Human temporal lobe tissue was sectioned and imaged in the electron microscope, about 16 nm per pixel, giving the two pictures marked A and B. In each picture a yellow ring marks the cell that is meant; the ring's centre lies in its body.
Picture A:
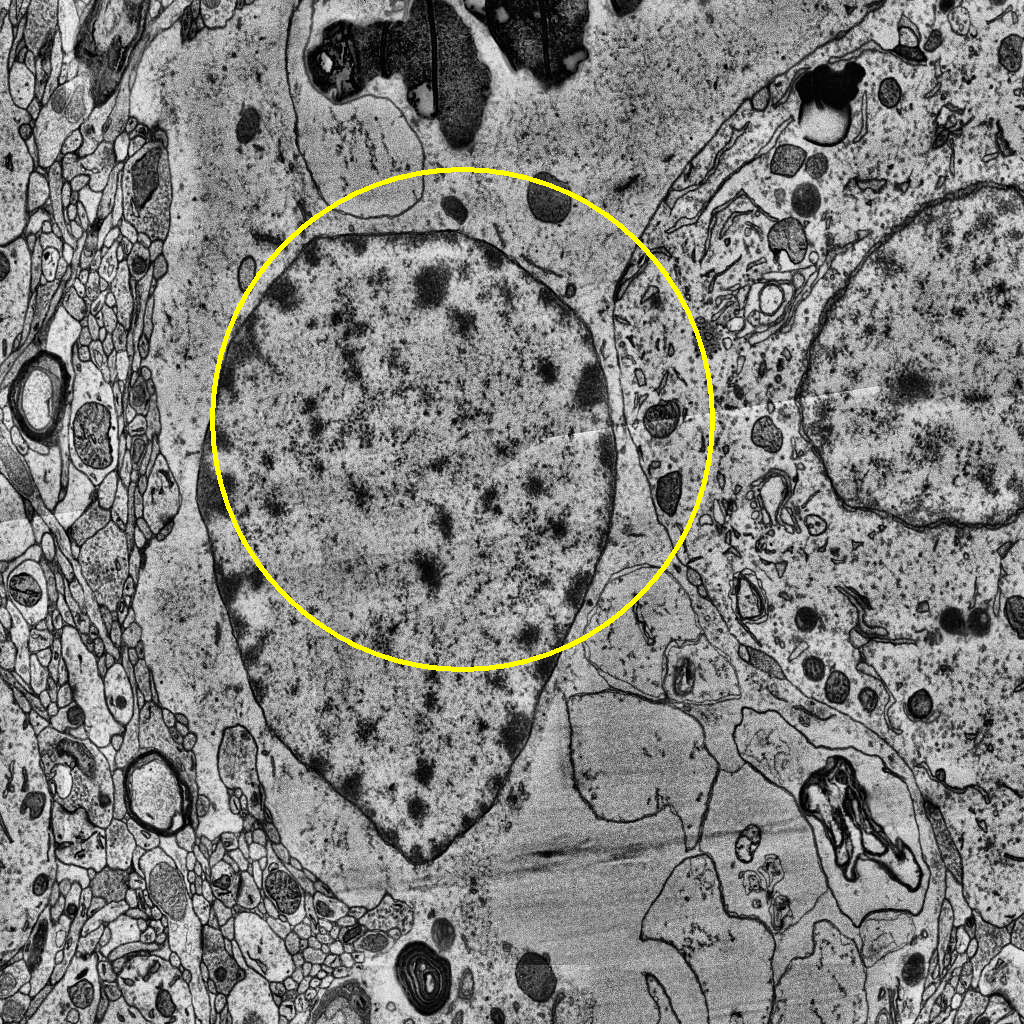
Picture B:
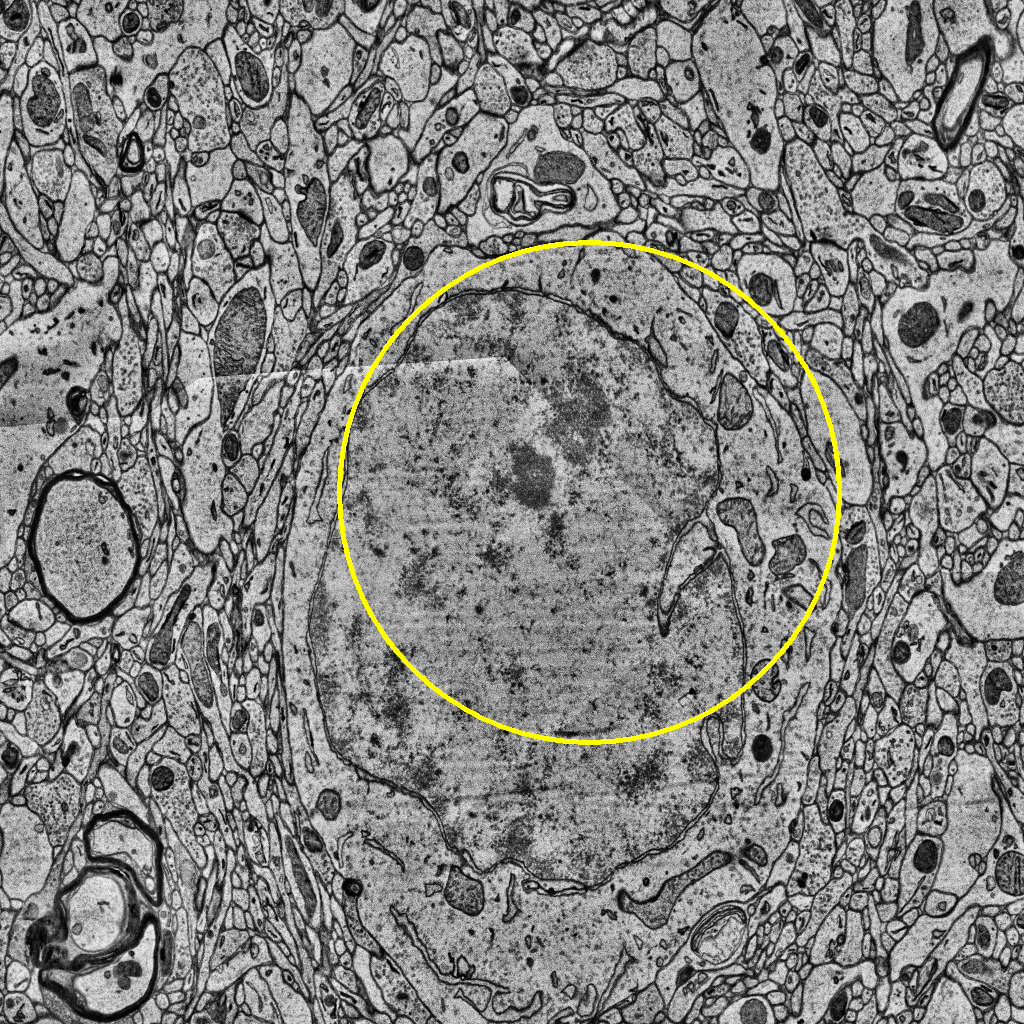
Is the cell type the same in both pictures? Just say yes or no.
no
